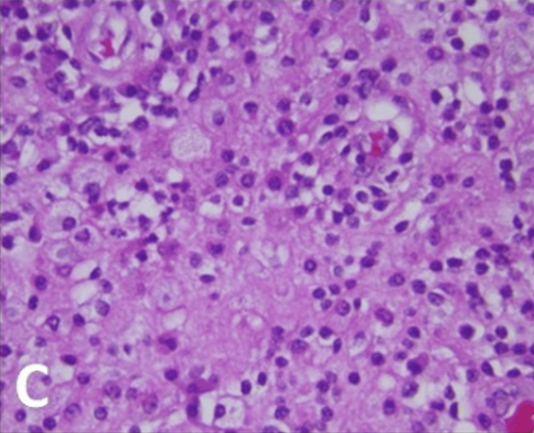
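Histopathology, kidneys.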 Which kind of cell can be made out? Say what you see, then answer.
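Foamy macrophages. Many large cells with abundant pale, finely vacuolated pink cytoplasm. Their nuclei are small and round, set within the pale cytoplasm.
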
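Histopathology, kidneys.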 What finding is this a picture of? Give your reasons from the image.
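Dense mixed infiltrate of small round dark-nucleated cells among larger pale cells. No normal organ architecture is visible in the field.
Conclusion: chronic inflammation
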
